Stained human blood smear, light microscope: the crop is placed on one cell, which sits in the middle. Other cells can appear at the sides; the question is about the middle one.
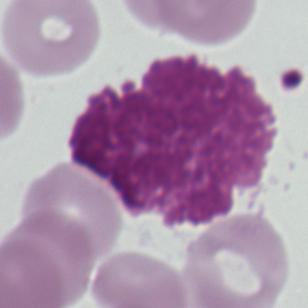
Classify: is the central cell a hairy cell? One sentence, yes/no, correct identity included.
No, the middle one is a smudge cell rather than a hairy cell.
